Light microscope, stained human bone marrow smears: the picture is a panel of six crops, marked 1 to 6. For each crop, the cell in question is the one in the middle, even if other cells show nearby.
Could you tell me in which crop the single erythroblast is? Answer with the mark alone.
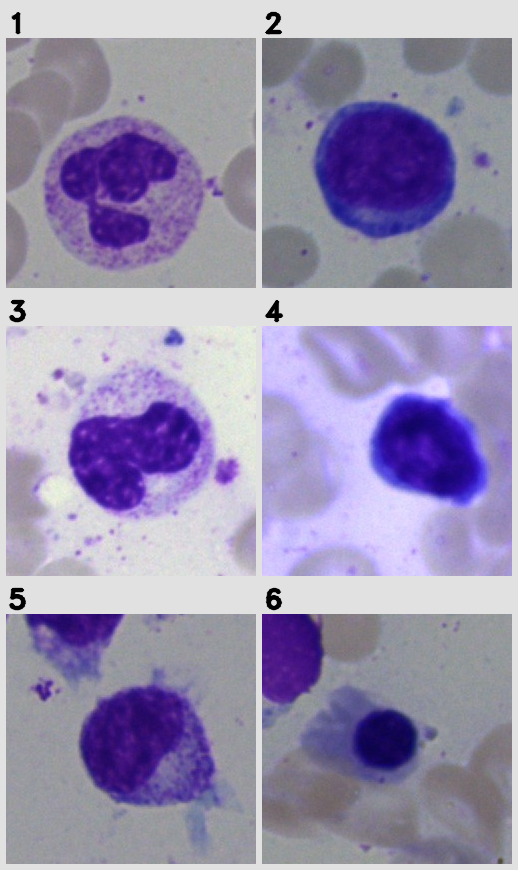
6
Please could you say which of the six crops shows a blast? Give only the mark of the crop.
2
